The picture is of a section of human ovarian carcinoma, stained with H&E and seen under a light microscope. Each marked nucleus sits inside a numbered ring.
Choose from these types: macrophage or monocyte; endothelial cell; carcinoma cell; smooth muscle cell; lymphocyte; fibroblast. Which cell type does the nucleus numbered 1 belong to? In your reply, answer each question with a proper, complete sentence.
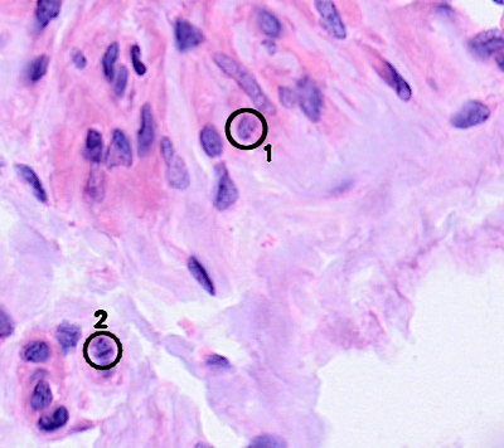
Classified as a smooth muscle cell is the cell with the number 1.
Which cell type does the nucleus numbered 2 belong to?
Here the cell numbered 2 is an endothelial cell.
